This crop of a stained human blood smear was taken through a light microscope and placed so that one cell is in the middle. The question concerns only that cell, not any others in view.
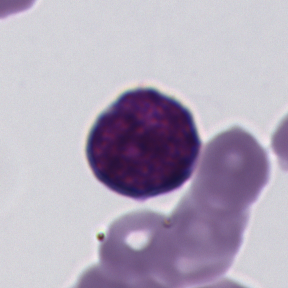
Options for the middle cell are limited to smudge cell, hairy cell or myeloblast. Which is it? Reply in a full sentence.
In the centre of this crop there is a myeloblast.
